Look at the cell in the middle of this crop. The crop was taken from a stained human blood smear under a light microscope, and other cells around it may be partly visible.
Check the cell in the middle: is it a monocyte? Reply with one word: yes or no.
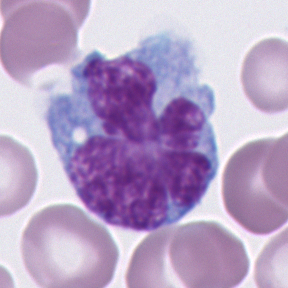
no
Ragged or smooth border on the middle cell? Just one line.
The boundary of the cell runs irregularly, ragged in parts or drawn into projections.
